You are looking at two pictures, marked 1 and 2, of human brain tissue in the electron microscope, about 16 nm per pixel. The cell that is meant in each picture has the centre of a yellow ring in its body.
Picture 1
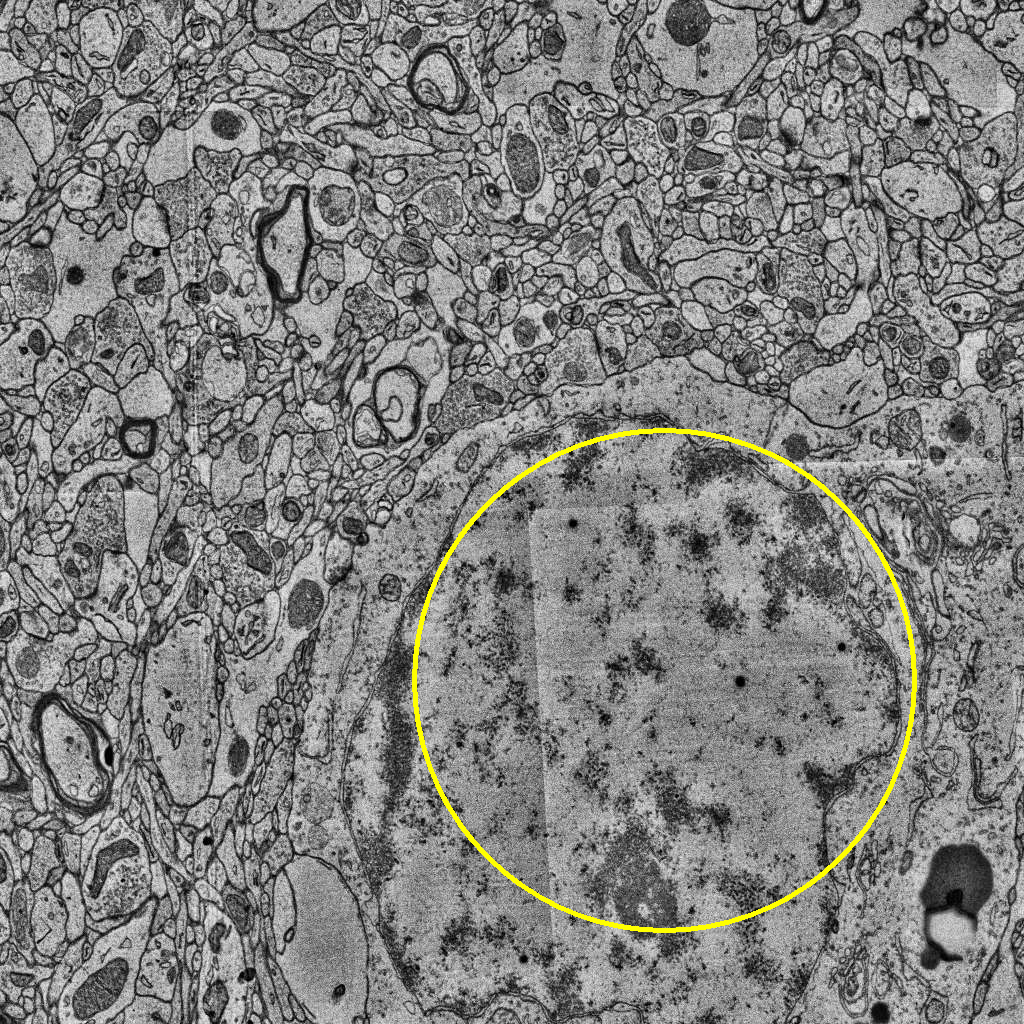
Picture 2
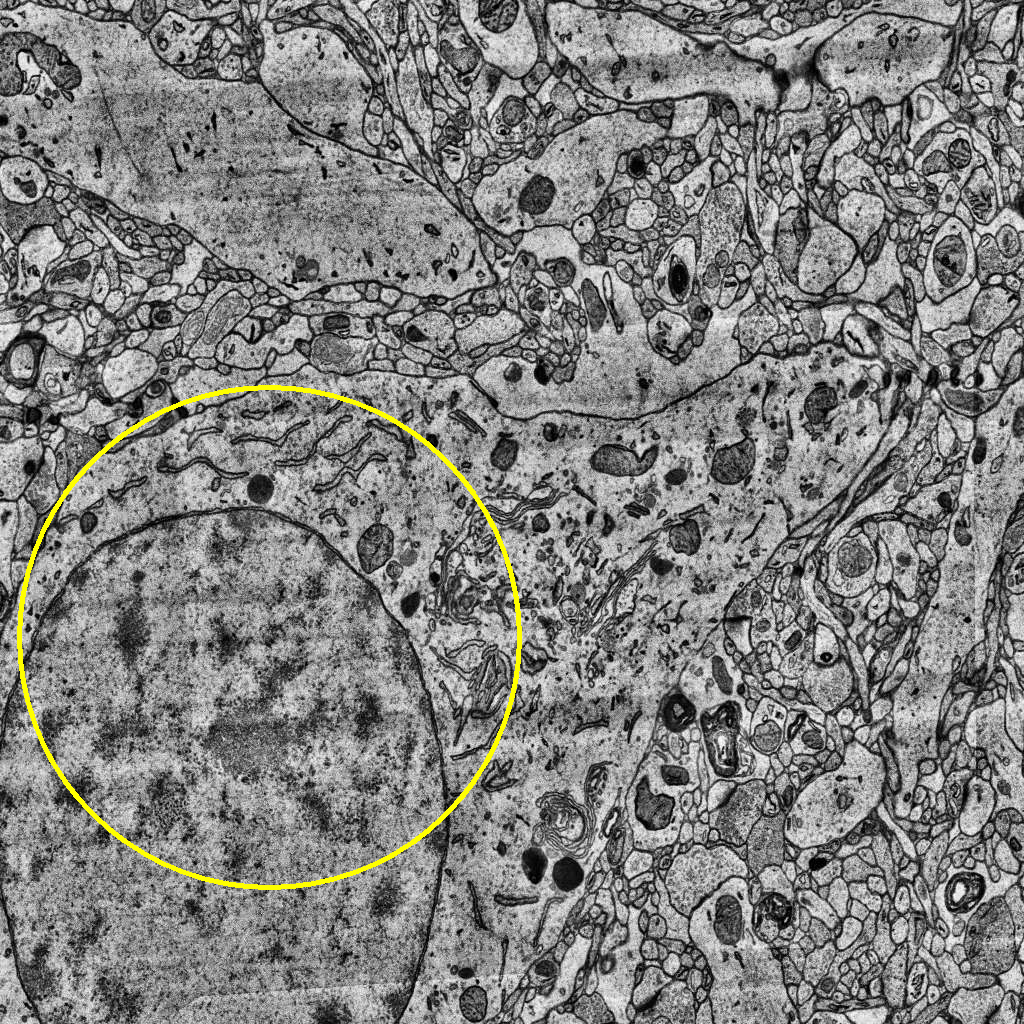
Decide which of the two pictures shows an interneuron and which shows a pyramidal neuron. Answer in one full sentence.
Picture 1 shows an interneuron and picture 2 shows a pyramidal neuron.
